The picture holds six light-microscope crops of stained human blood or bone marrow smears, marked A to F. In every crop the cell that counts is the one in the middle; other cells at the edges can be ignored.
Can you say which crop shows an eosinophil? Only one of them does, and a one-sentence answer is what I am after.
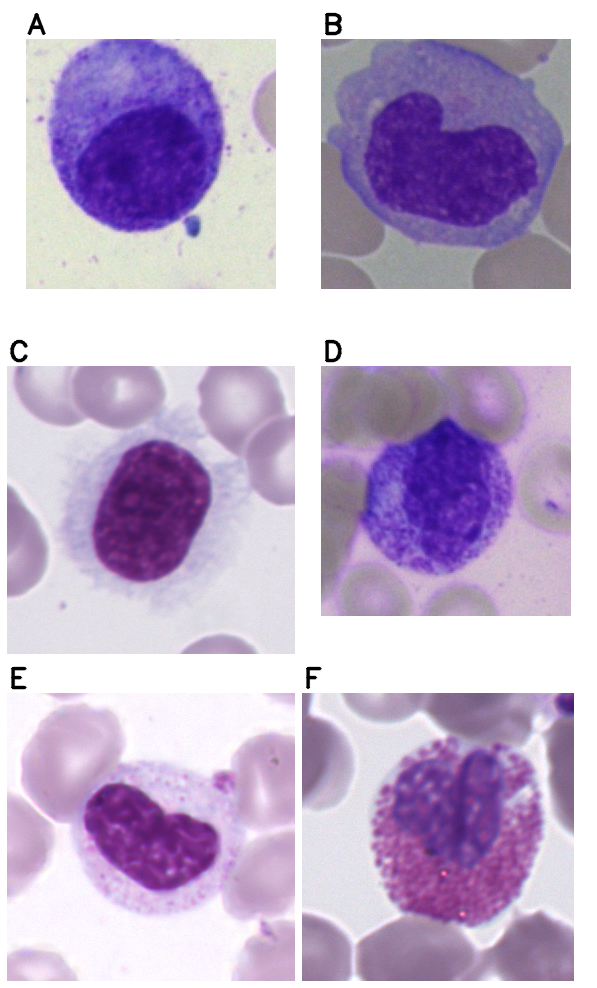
Crop F is the crop featuring an eosinophil at its center.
